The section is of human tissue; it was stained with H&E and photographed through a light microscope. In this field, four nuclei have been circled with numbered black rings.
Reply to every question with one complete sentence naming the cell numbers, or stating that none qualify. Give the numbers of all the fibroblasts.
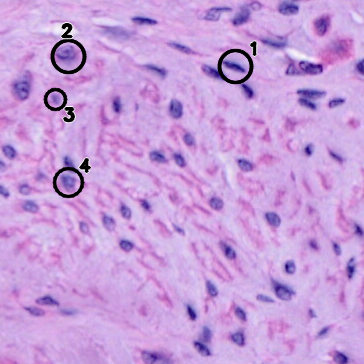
Only the nucleus marked 1 is that of a fibroblast.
